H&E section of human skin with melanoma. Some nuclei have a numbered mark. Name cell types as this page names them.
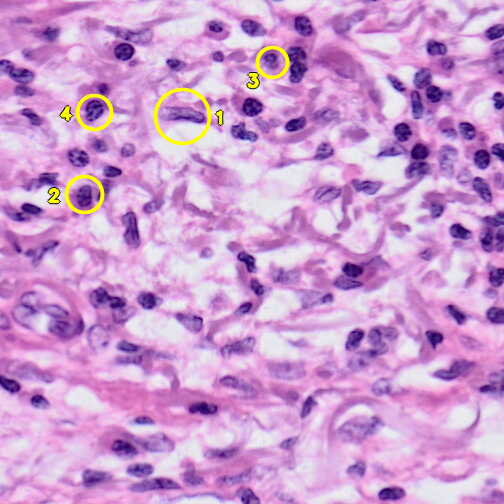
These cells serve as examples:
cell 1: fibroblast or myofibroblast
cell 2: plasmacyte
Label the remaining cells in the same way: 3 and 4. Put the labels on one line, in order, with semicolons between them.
plasmacyte; plasmacyte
